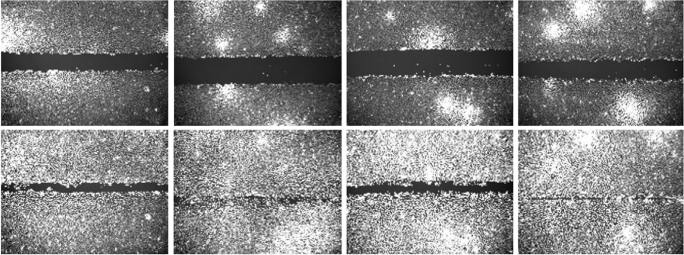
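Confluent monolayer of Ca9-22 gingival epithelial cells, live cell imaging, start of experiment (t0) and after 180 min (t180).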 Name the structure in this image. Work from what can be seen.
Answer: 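A dark, cell-free horizontal band crosses the middle of each upper image. Densely packed cells fill the areas above and below the band. In the lower images the band is narrower or nearly filled by cells.
Answer: gap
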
